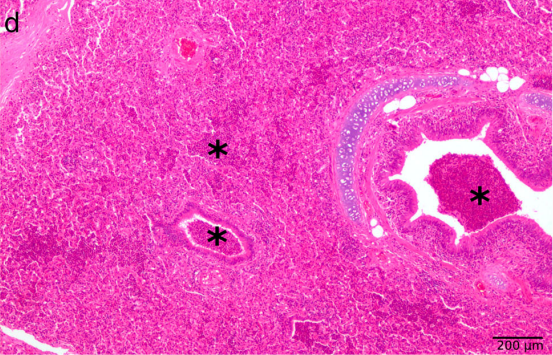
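This is lung with suppurative bronchopneumonia, in which the airways and alveoli are filled with exudate. A large bronchus at the right, lined by purple epithelium with a wall containing clear spaces, holds a dense plug of cells in its lumen, and a smaller airway at the centre is likewise filled with cells. The surrounding alveolar spaces are packed with cells so that hardly any open air space remains.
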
